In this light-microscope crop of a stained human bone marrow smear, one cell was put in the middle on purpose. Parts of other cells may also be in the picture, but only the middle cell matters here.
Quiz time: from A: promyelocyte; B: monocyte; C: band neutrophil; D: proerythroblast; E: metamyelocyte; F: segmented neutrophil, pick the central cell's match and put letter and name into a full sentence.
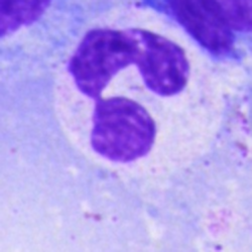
The one cell at the centre is a segmented neutrophil, as correctly stated in option F.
